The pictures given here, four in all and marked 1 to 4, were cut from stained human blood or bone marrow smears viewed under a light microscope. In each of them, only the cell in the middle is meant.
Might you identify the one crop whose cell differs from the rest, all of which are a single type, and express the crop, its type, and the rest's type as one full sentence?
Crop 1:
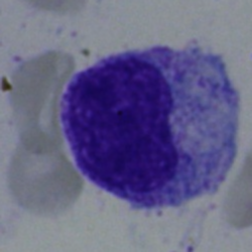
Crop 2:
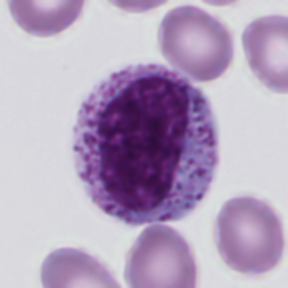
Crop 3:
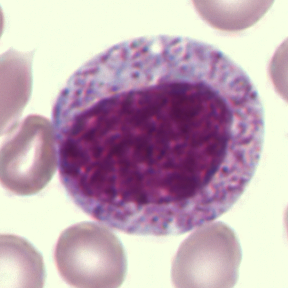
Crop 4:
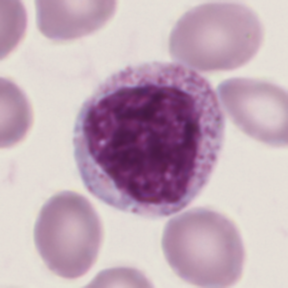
Seen in crop 2 is a metamyelocyte, and seen in all other crops are myelocytes.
